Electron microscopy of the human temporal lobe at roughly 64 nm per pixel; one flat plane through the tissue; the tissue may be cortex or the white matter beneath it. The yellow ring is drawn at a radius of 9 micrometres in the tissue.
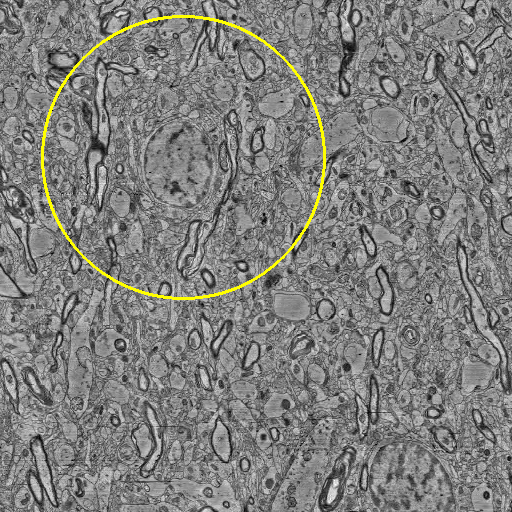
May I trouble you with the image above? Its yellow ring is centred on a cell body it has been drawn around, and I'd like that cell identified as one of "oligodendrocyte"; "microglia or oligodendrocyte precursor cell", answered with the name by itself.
microglia or oligodendrocyte precursor cell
